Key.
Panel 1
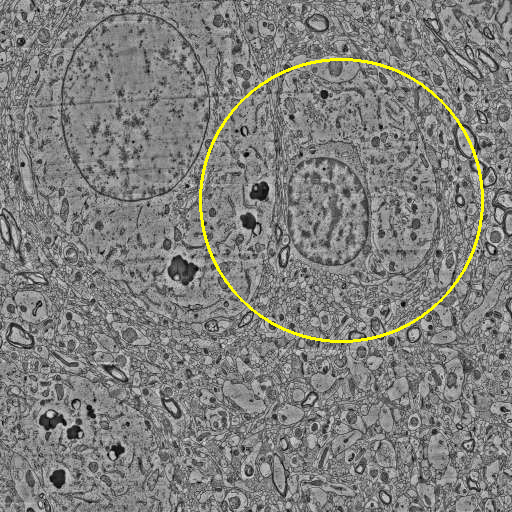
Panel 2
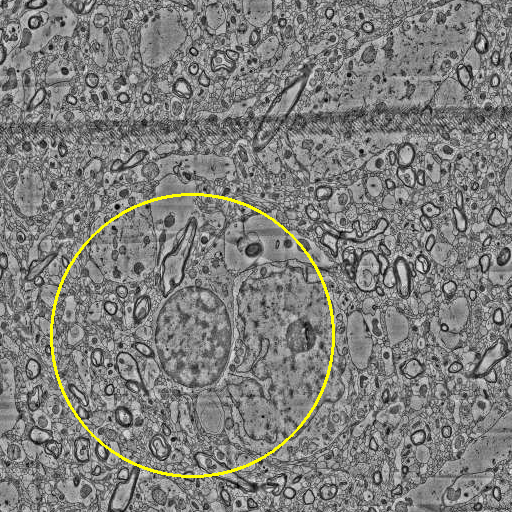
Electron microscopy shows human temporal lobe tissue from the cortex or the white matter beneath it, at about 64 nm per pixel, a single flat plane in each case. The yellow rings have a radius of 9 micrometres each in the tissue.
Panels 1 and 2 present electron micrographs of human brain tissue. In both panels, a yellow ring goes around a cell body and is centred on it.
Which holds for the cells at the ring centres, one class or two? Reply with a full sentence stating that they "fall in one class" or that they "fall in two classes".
Taken together, the ring-centre cells of the two panels fall in one class.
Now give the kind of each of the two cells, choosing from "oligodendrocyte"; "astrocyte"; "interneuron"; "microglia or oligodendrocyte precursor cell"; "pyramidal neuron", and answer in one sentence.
Both the first and the second picture show an oligodendrocyte in the ring.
